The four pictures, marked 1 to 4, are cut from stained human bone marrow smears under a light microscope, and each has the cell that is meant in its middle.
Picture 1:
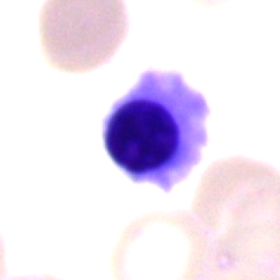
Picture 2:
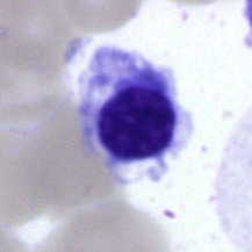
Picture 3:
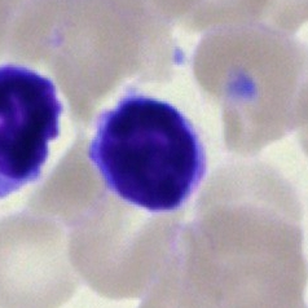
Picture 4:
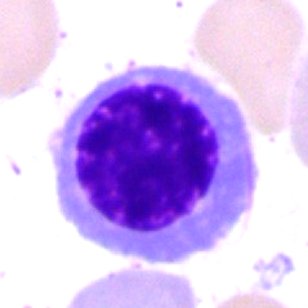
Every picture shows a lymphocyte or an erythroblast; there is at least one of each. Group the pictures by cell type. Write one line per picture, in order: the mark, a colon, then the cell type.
1: erythroblast
2: erythroblast
3: lymphocyte
4: erythroblast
